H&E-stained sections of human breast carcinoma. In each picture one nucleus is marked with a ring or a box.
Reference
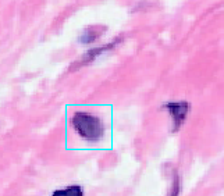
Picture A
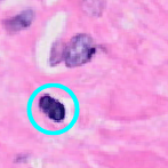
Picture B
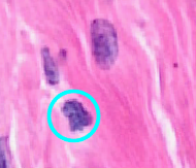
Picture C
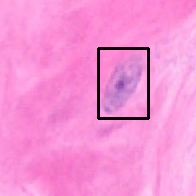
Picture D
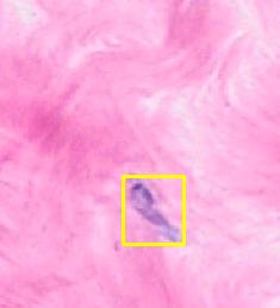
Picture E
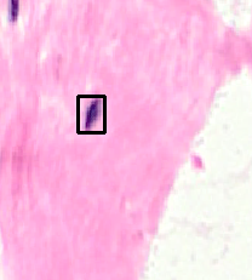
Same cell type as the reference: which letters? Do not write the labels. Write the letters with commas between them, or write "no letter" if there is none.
A, B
